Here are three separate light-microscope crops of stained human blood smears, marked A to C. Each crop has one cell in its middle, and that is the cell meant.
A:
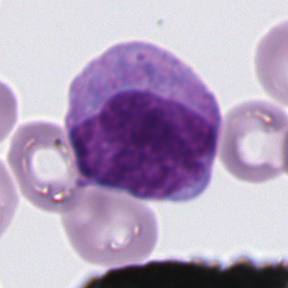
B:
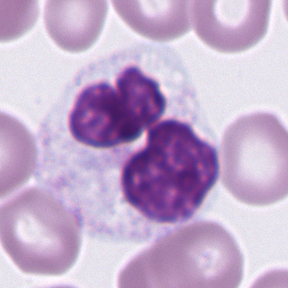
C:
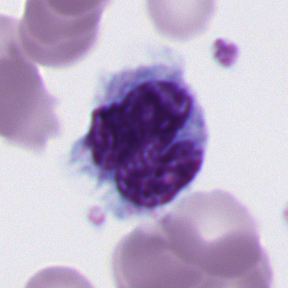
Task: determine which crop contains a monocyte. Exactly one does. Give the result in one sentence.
So the crop with a monocyte at its center is crop C.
